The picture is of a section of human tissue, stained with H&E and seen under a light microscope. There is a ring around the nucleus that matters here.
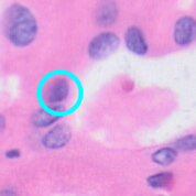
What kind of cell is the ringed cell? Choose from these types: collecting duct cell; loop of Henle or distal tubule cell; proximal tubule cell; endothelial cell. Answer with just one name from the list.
collecting duct cell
